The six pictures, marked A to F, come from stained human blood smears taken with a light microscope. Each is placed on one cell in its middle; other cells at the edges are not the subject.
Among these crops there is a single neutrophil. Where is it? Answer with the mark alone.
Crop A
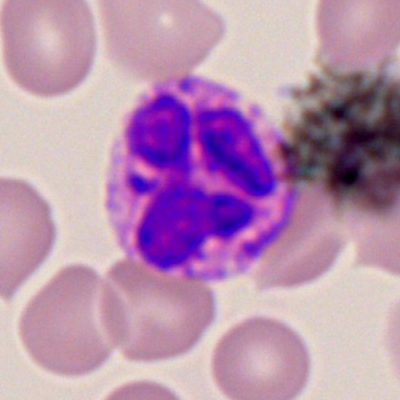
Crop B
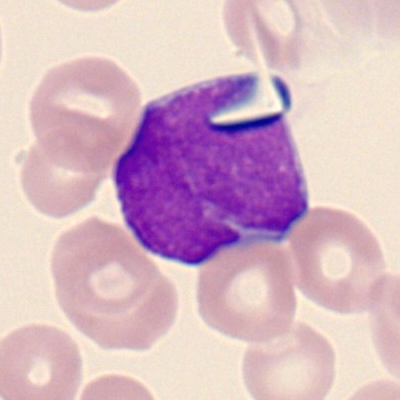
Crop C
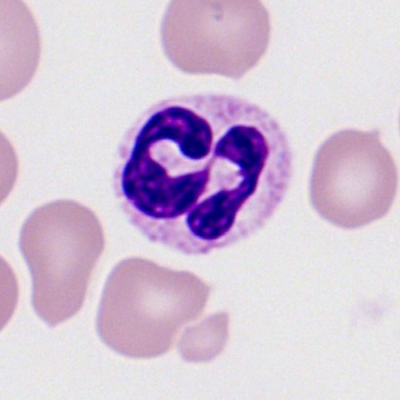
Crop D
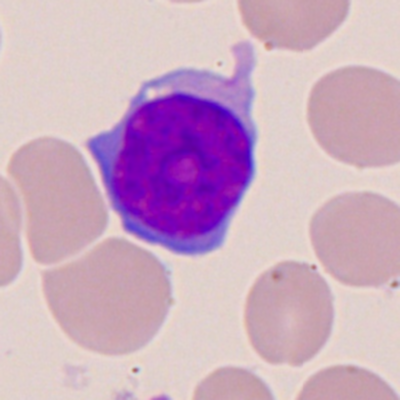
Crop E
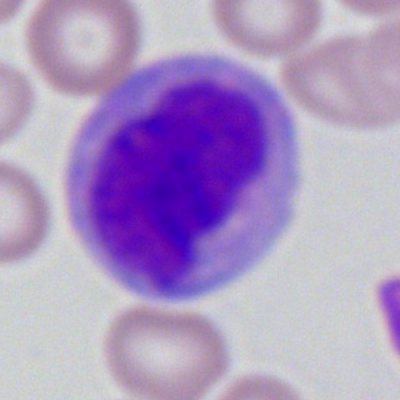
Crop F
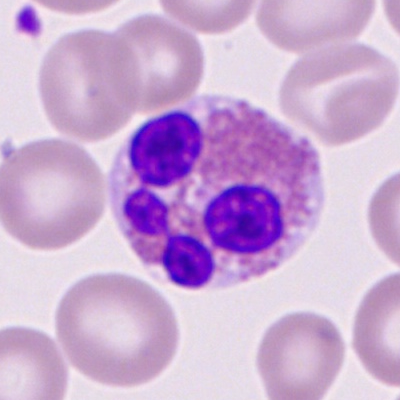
C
